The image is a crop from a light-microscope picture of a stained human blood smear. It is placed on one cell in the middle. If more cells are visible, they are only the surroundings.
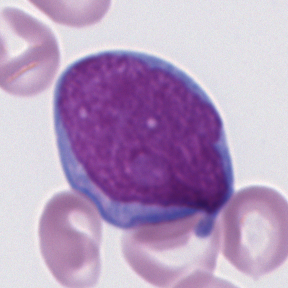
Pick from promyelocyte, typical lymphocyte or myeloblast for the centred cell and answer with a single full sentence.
The cell centered in this field of view is a myeloblast.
